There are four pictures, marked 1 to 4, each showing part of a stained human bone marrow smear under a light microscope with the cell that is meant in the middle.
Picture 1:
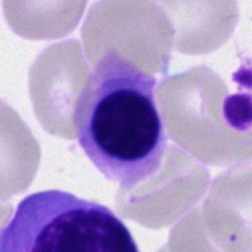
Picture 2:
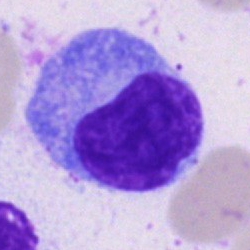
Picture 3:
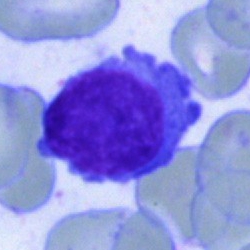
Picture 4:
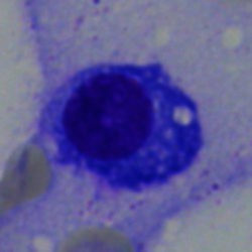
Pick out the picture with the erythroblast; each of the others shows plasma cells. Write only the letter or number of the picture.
1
